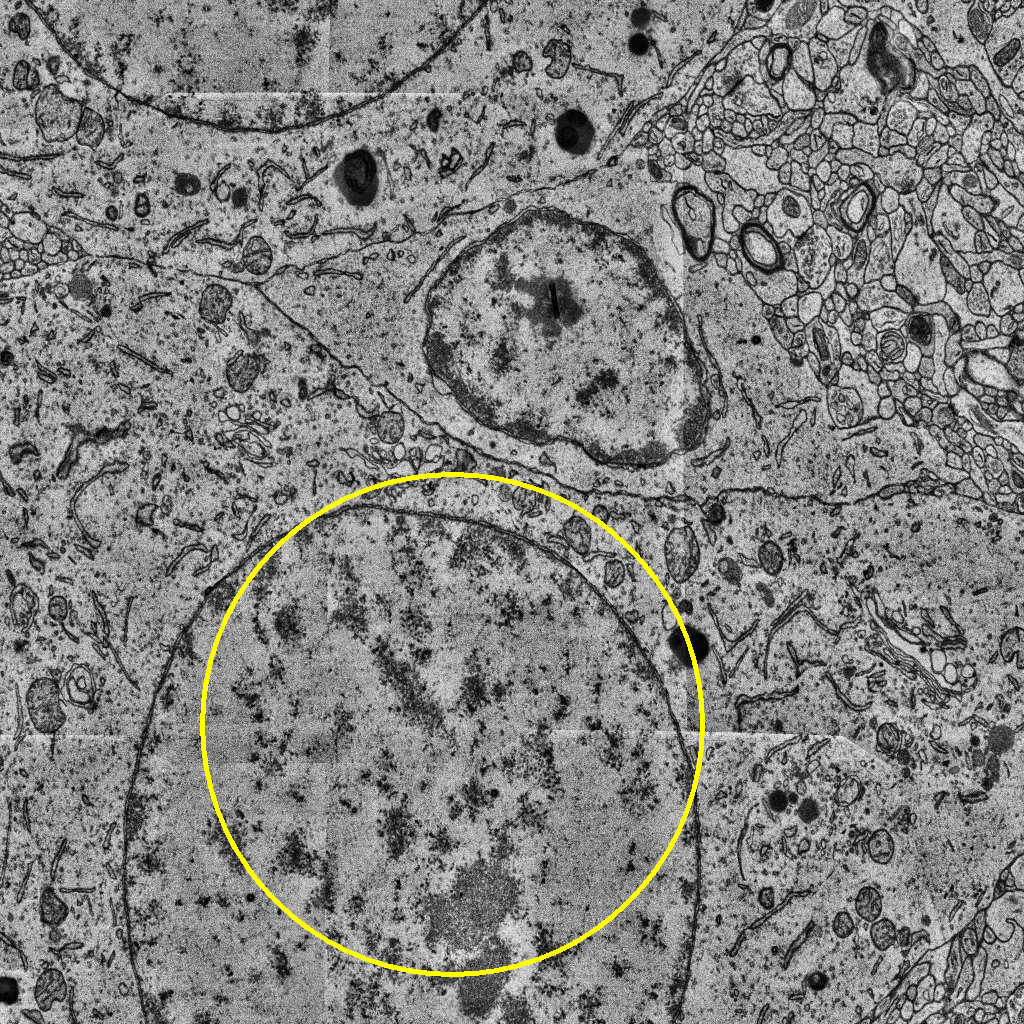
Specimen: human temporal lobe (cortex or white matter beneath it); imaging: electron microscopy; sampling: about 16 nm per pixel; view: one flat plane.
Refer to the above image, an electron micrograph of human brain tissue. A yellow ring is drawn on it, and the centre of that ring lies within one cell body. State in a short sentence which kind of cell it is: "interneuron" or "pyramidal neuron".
The centre of the ring falls on a pyramidal neuron.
